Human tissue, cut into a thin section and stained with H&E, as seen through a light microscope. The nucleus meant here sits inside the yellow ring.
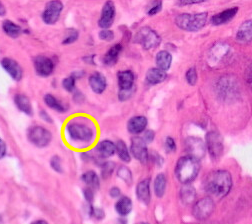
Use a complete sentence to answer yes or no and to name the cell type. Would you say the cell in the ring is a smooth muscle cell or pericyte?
No, the cell in the ring is recognized as a lymphocyte rather than a smooth muscle cell or pericyte.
